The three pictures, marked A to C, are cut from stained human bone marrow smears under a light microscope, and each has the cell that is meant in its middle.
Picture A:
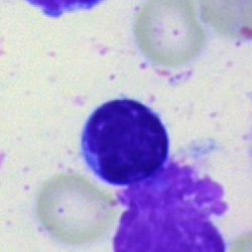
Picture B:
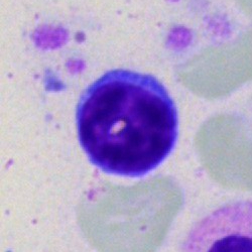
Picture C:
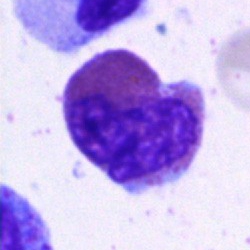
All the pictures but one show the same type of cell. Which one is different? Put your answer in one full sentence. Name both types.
Unlike the rest, which show lymphocytes, picture C shows an eosinophil.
